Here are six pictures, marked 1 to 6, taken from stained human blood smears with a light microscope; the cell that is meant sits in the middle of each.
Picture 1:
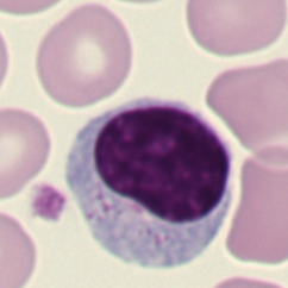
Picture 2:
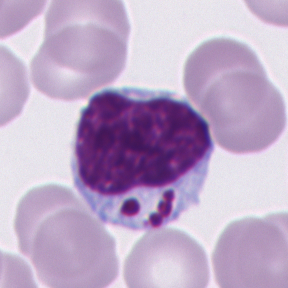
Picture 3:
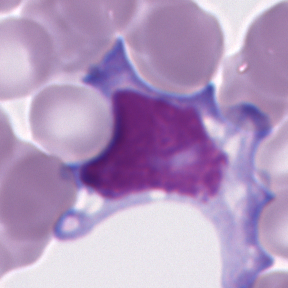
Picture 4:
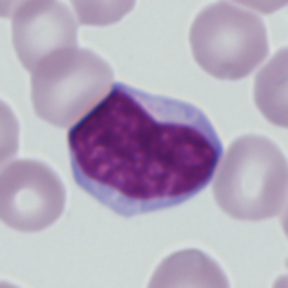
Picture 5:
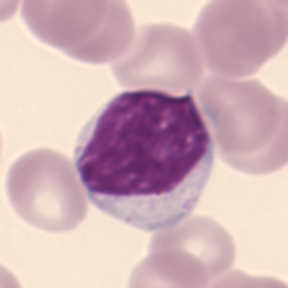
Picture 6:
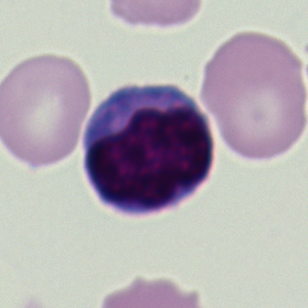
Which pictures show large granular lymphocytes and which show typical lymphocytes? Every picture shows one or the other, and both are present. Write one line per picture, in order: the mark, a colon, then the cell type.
1: large granular lymphocyte
2: large granular lymphocyte
3: typical lymphocyte
4: large granular lymphocyte
5: large granular lymphocyte
6: typical lymphocyte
